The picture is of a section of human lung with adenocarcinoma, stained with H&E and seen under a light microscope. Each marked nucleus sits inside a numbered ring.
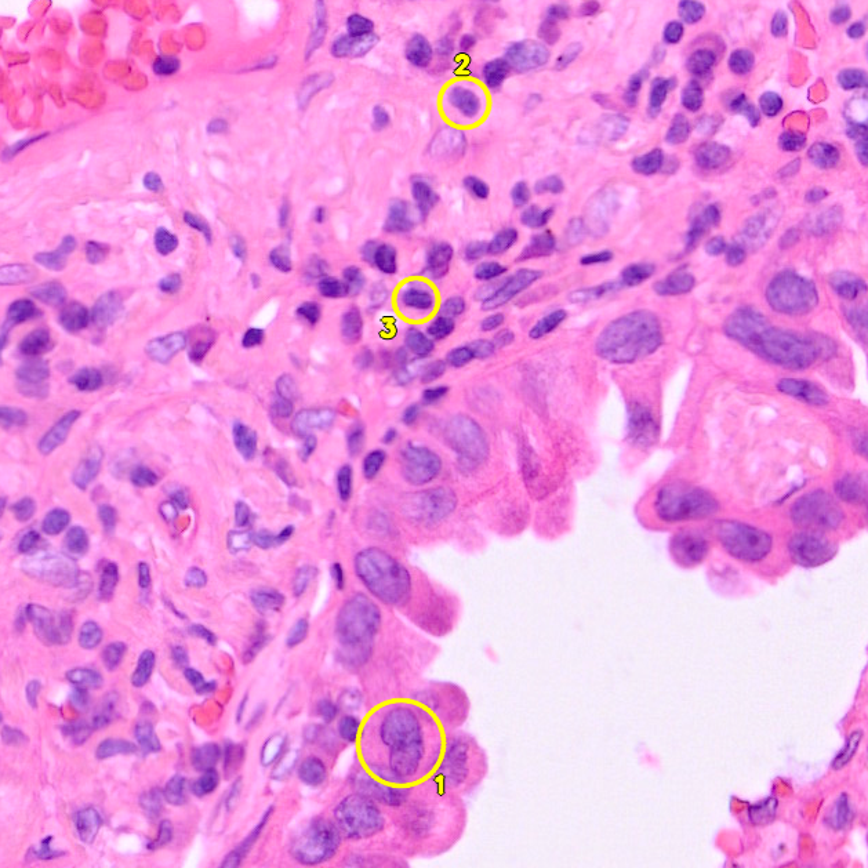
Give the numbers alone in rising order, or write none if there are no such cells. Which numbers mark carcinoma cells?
1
